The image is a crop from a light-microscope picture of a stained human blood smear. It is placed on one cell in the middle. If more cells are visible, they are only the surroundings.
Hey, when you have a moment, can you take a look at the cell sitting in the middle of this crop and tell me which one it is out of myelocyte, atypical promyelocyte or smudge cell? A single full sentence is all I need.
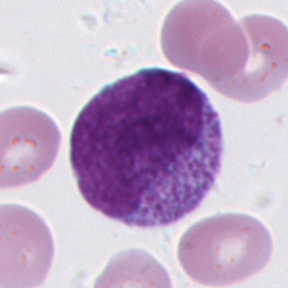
For this crop, the central cell is a myelocyte.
